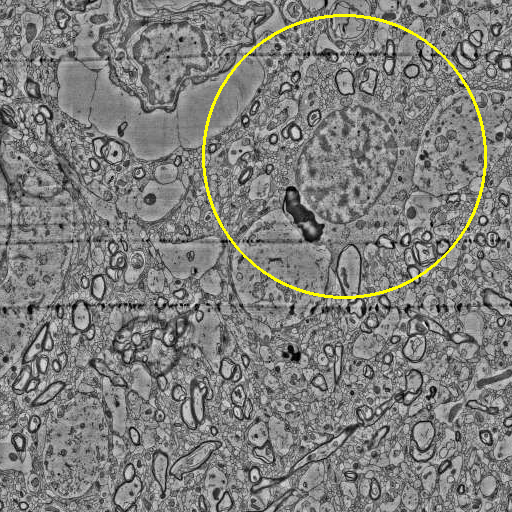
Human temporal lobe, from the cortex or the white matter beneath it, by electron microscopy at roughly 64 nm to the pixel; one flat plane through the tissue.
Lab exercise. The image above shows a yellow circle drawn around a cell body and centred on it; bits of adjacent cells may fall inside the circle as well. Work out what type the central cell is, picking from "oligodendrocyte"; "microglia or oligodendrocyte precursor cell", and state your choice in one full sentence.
In the image above, the cell at the centre of the yellow circle is an oligodendrocyte.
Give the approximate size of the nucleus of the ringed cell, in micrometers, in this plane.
In this plane, roughly 8 by 6 micrometres.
